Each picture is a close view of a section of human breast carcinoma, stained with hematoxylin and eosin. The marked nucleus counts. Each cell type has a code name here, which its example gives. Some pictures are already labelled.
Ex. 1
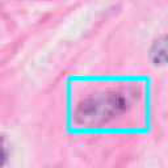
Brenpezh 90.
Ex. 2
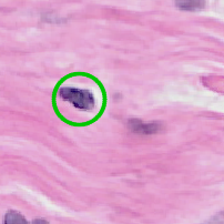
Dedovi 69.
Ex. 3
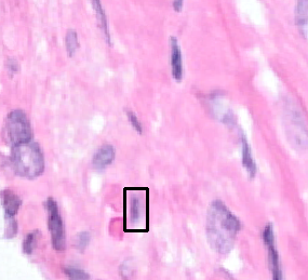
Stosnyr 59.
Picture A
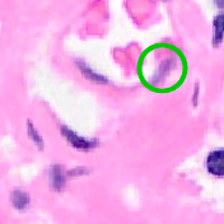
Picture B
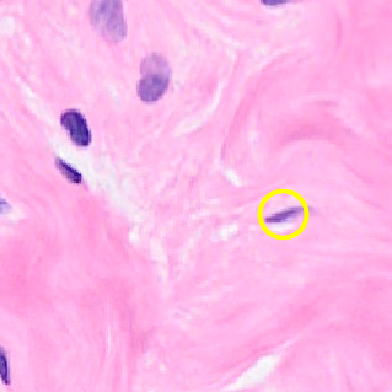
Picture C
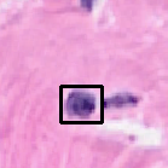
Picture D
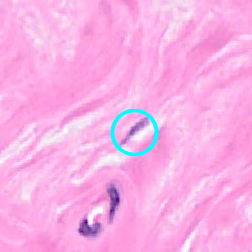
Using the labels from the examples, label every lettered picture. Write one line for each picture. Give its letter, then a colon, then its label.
A: Stosnyr 59.
B: Brenpezh 90.
C: Dedovi 69.
D: Brenpezh 90.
